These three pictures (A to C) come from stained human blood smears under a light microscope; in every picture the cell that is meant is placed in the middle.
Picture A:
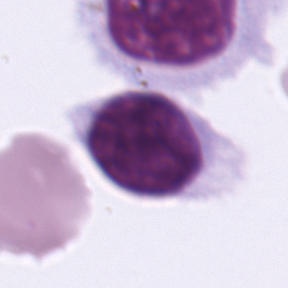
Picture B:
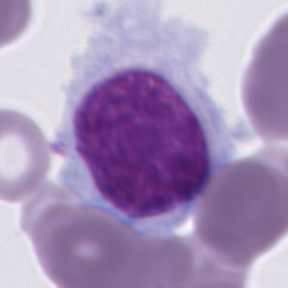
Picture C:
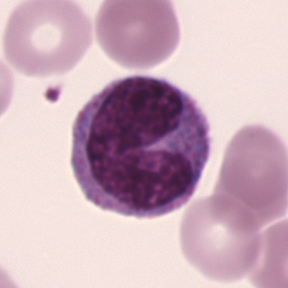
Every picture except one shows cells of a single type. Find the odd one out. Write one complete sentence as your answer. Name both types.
Picture C differs, because its cell is a monocyte and the rest are hairy cells.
